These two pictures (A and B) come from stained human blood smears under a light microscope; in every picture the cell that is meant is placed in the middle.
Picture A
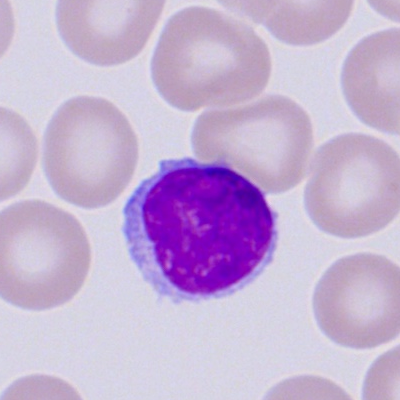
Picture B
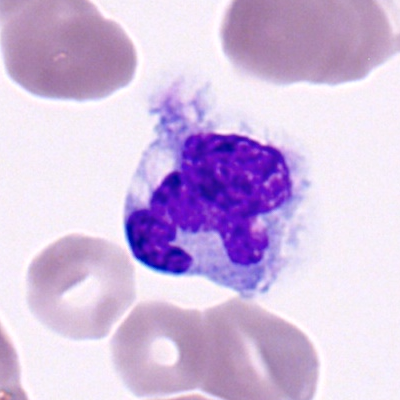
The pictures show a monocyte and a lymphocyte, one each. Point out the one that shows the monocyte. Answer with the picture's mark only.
B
